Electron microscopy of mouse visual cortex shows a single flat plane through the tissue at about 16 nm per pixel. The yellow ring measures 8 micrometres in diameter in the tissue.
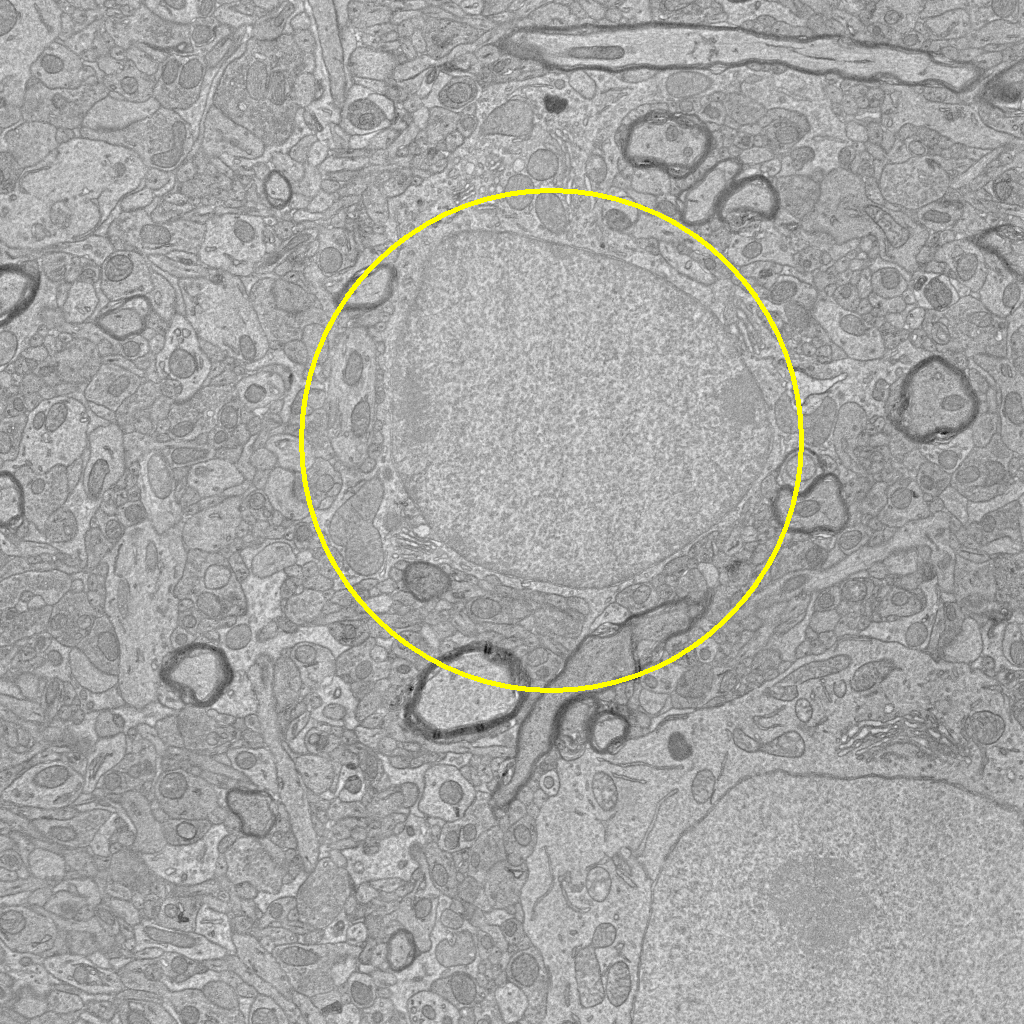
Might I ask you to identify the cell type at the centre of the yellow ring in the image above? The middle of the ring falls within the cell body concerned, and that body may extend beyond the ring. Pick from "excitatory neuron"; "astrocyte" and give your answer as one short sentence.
The centre of the ring falls on an astrocyte.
